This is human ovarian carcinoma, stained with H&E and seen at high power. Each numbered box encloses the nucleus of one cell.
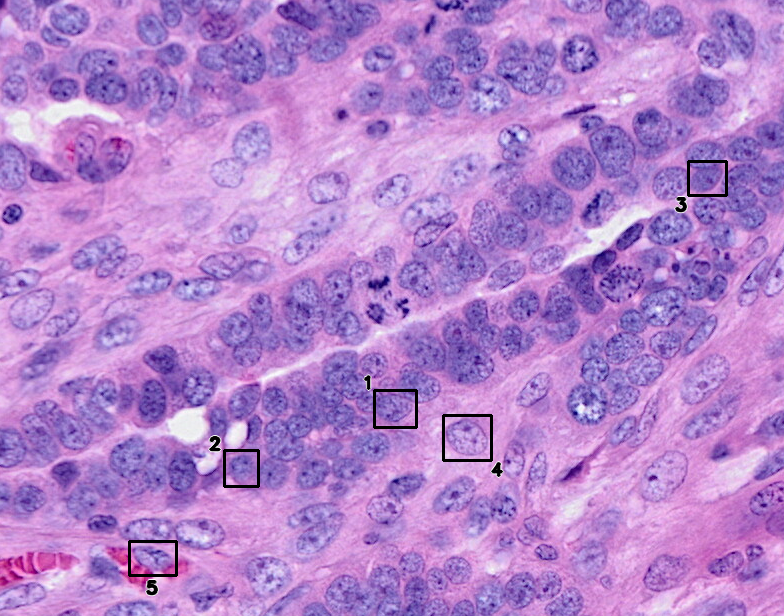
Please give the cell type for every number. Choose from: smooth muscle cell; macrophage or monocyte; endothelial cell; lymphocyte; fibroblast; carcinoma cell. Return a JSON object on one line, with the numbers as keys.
{"1": "carcinoma cell", "2": "carcinoma cell", "3": "carcinoma cell", "4": "fibroblast", "5": "endothelial cell"}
